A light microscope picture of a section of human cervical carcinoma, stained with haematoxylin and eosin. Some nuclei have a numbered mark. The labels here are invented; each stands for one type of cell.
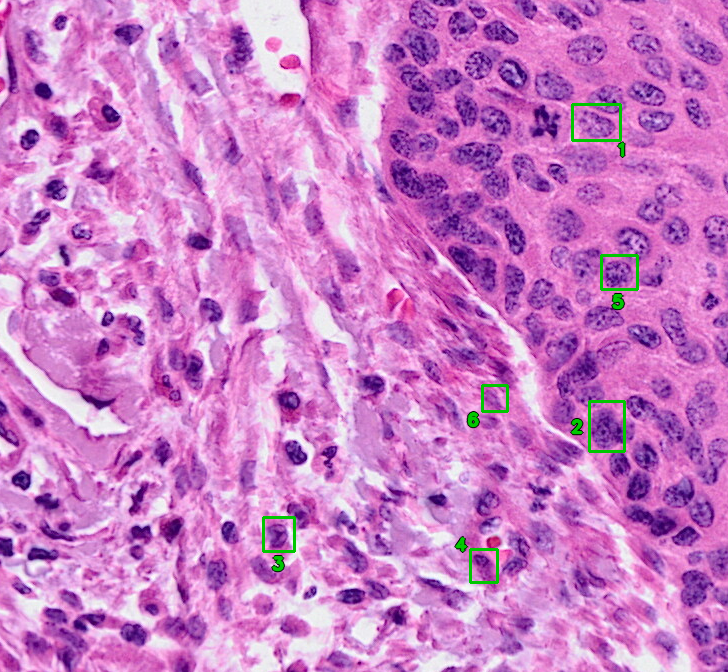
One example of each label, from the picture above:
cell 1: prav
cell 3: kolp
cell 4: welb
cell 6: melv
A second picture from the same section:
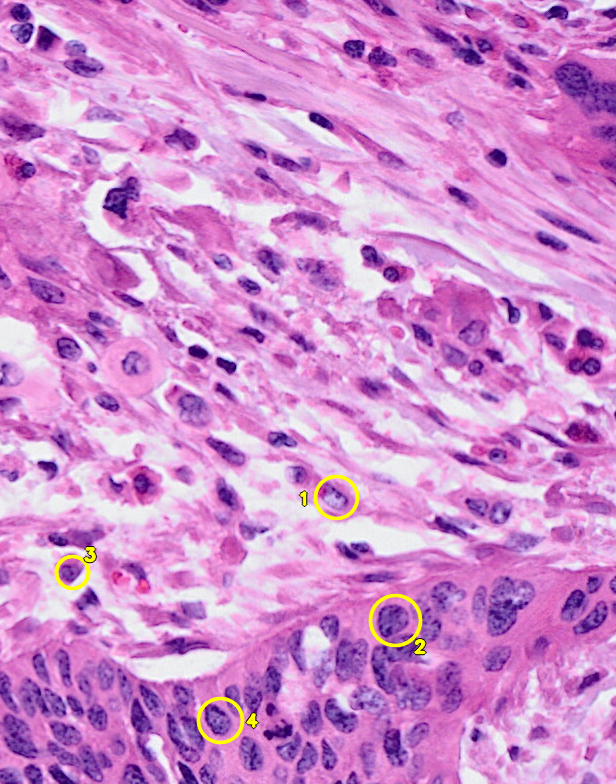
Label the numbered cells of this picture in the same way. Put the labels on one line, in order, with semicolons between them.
welb; prav; kolp; prav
